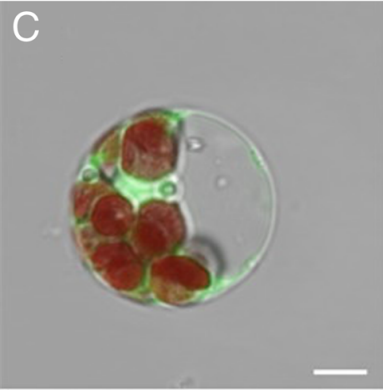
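A single round mesophyll protoplast seen in bright field with fluorescence overlaid. Green fluorescence lies in the thin cytoplasm between and around the chloroplasts and along the cell rim, with a brighter patch among the chloroplasts near the centre. A few small round bodies sit at the boundary between the vacuole and the chloroplast-filled half.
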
